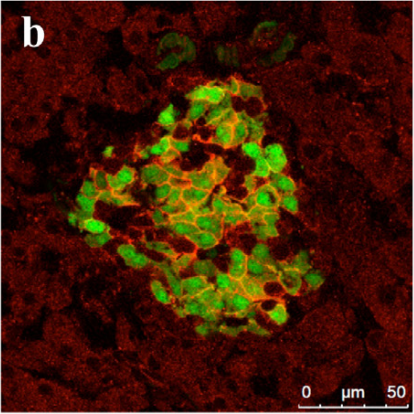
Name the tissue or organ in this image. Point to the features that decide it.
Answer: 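Islets. A compact, rounded cluster of cells sits in the middle of the field. The cluster is surrounded by larger, granular tissue with a different texture. Cells within the cluster are outlined by thin red membrane lines.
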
